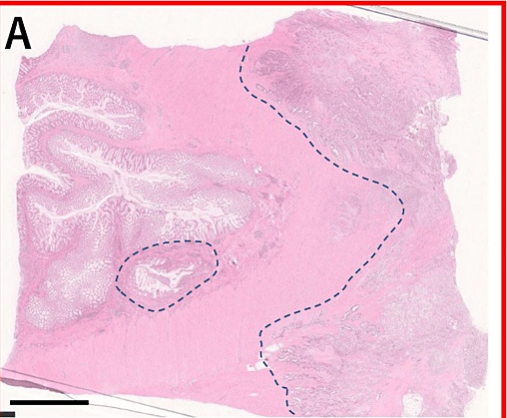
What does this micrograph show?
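This low-power section of bowel wall shows mucosa with folded glandular epithelium on the left and a tumor area within the wall on the right. The mucosa on the left forms orderly, elongated folds lined by glands with pale, lace-like texture. A broad band of dense, homogeneous pink tissue lies between the mucosa and the right side of the section. On the right, within this wall tissue, crowded irregular glandular structures occupy a large region that extends from the top to the bottom edge. A small separate focus of glandular tissue also lies among the mucosal folds in the lower left centre.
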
